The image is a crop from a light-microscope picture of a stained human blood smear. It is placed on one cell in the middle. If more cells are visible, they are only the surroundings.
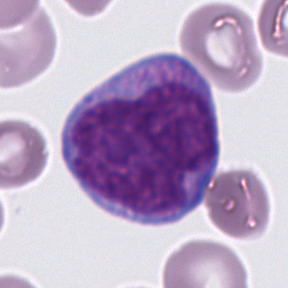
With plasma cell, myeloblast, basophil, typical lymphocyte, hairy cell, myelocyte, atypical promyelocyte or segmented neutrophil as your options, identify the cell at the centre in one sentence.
The central element of this crop is a cell, namely an atypical promyelocyte.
